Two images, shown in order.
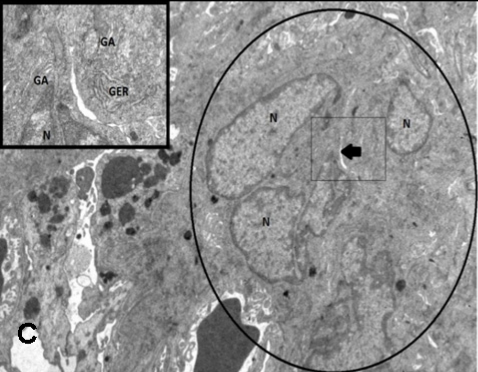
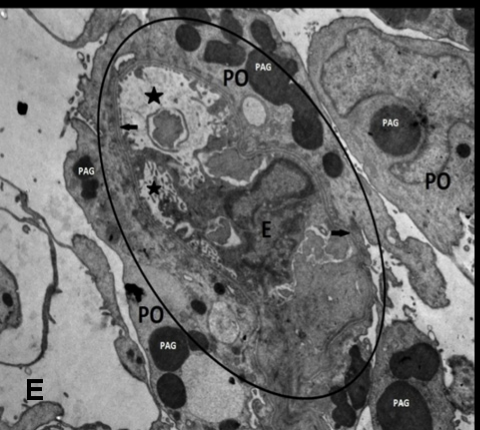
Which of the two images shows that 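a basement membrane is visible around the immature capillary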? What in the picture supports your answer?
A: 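Second image: a thin dark line borders the outlined capillary. First image: the outlined cell cluster has no distinct bordering dark line. That points to this answer: the second image.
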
